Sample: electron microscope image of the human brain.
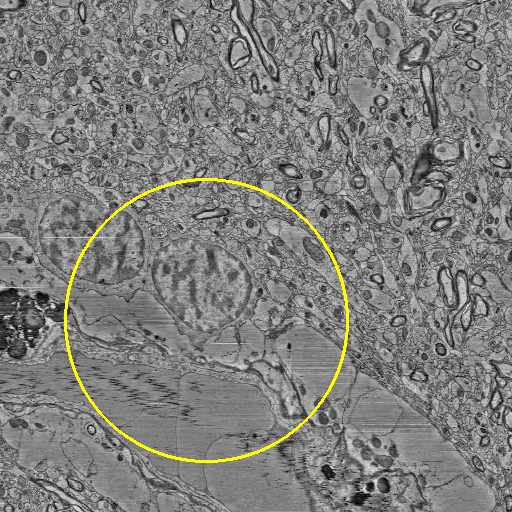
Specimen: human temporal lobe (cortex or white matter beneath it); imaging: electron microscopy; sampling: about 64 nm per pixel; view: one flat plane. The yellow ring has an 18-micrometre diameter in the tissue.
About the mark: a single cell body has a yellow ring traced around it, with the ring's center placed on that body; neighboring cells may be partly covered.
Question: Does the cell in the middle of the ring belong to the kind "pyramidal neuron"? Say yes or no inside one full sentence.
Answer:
No, the cell at the ring's center in this image belongs to a different kind.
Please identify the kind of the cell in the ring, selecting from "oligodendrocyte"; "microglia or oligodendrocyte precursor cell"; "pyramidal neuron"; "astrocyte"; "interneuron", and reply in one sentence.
Instead, the ring surrounds an oligodendrocyte in this picture.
